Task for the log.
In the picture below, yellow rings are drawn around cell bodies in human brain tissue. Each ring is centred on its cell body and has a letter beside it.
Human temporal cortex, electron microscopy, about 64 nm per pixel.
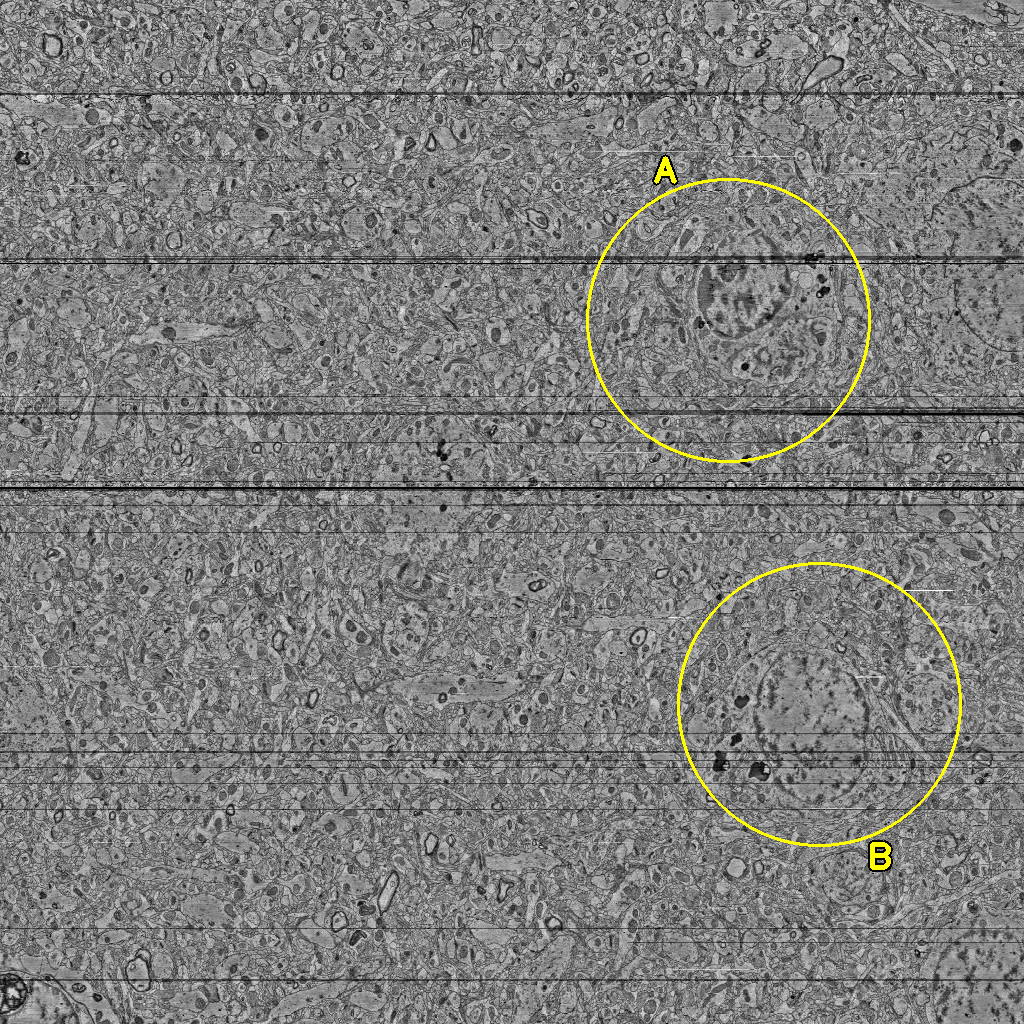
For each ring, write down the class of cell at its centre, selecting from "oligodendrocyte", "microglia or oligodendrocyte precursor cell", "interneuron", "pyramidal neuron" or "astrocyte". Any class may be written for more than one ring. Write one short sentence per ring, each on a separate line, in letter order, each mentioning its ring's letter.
The cell inside ring A, at its centre, is a microglial cell or oligodendrocyte precursor cell.
The cell inside ring B, at its centre, is an interneuron.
